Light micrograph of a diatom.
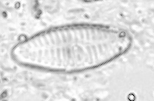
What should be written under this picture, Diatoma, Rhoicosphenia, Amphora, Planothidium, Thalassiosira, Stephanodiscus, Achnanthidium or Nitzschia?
Planothidium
